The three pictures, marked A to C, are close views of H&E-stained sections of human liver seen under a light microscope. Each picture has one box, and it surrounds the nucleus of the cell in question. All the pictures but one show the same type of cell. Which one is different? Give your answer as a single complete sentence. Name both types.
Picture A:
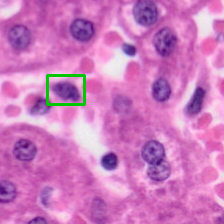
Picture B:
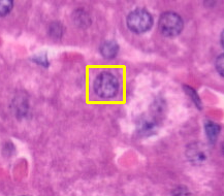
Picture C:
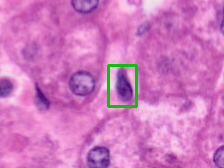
Picture B differs, because its cell is a hepatocyte and the rest are Kupffer cells.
